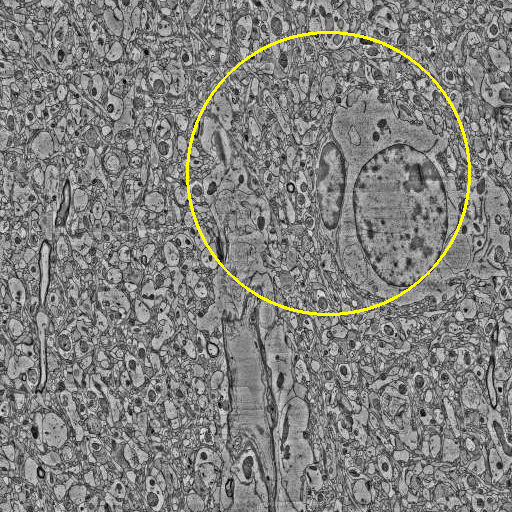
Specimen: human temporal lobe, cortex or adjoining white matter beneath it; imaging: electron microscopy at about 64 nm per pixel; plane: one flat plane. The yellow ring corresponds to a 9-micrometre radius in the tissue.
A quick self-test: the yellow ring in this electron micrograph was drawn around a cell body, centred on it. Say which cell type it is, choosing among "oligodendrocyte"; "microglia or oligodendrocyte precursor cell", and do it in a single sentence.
The yellow-ringed cell is a microglial cell or oligodendrocyte precursor cell.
